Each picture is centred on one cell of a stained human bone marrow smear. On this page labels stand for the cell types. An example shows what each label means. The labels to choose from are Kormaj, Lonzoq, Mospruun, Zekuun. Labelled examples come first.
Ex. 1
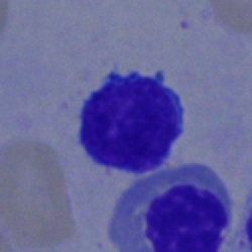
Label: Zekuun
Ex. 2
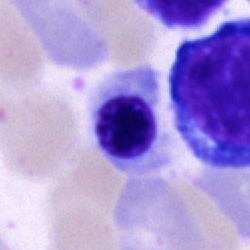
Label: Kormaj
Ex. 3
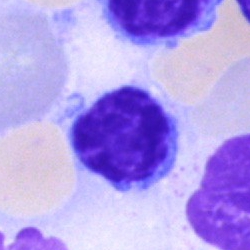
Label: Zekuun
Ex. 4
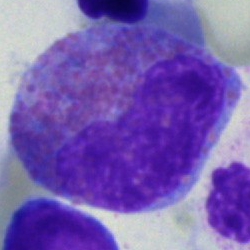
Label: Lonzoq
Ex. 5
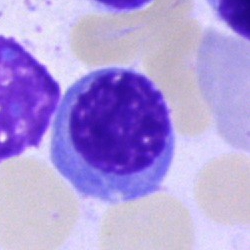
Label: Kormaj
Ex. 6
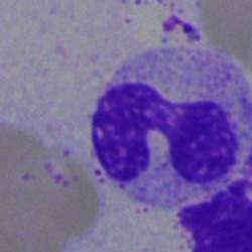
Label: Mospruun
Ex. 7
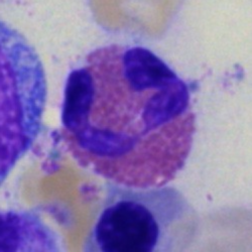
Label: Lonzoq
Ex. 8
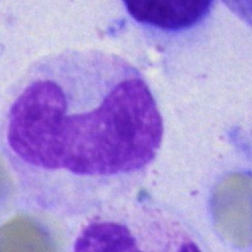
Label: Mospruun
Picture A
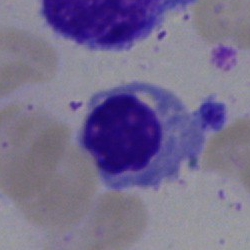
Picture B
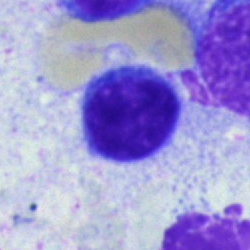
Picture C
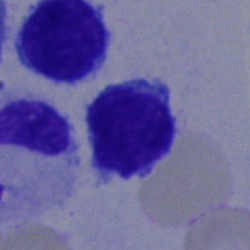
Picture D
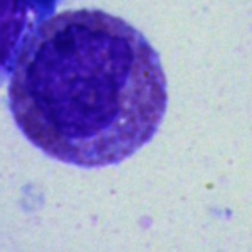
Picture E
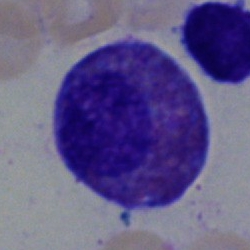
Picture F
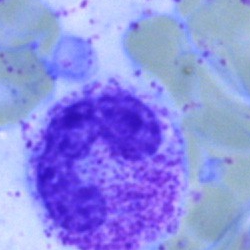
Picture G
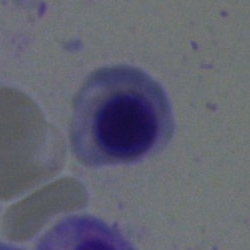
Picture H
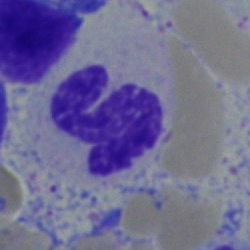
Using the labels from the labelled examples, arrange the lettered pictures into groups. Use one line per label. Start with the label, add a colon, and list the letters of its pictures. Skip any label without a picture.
Kormaj: A, G
Lonzoq: D, E
Mospruun: F, H
Zekuun: B, C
